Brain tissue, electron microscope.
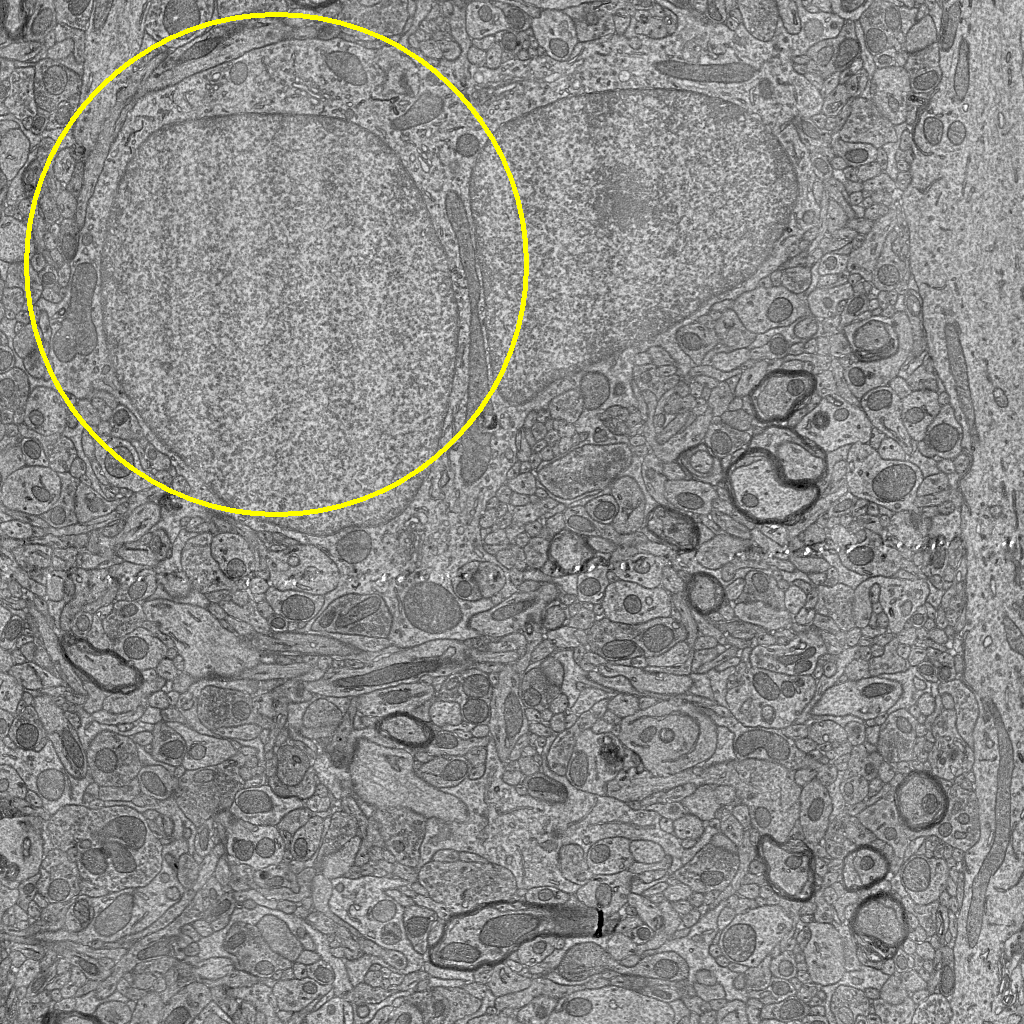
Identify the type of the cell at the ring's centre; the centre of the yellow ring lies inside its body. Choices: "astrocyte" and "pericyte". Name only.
astrocyte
